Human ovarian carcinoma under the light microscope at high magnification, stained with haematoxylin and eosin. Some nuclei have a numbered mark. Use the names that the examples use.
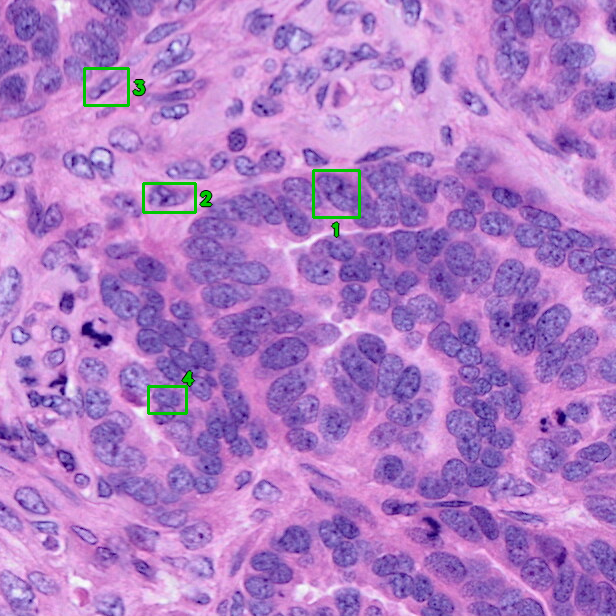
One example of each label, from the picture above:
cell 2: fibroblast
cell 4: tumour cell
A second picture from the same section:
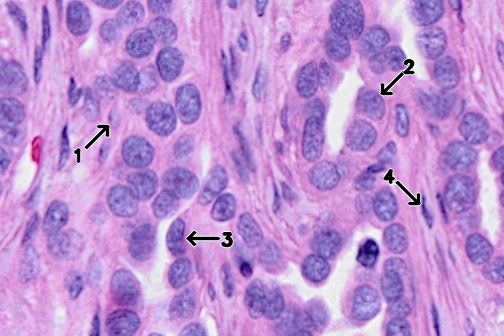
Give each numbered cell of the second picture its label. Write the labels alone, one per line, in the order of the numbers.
fibroblast
tumour cell
tumour cell
fibroblast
